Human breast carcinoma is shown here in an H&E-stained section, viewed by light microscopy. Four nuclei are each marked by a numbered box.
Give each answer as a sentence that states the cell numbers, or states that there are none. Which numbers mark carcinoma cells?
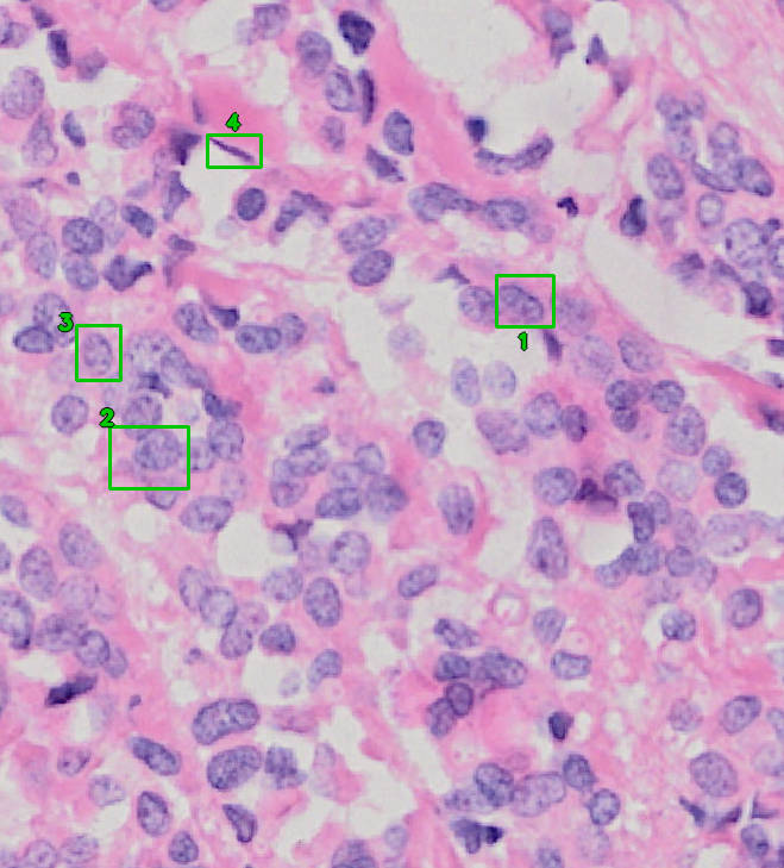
The cells marked 1, 2 and 3 in the section are carcinoma cells.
